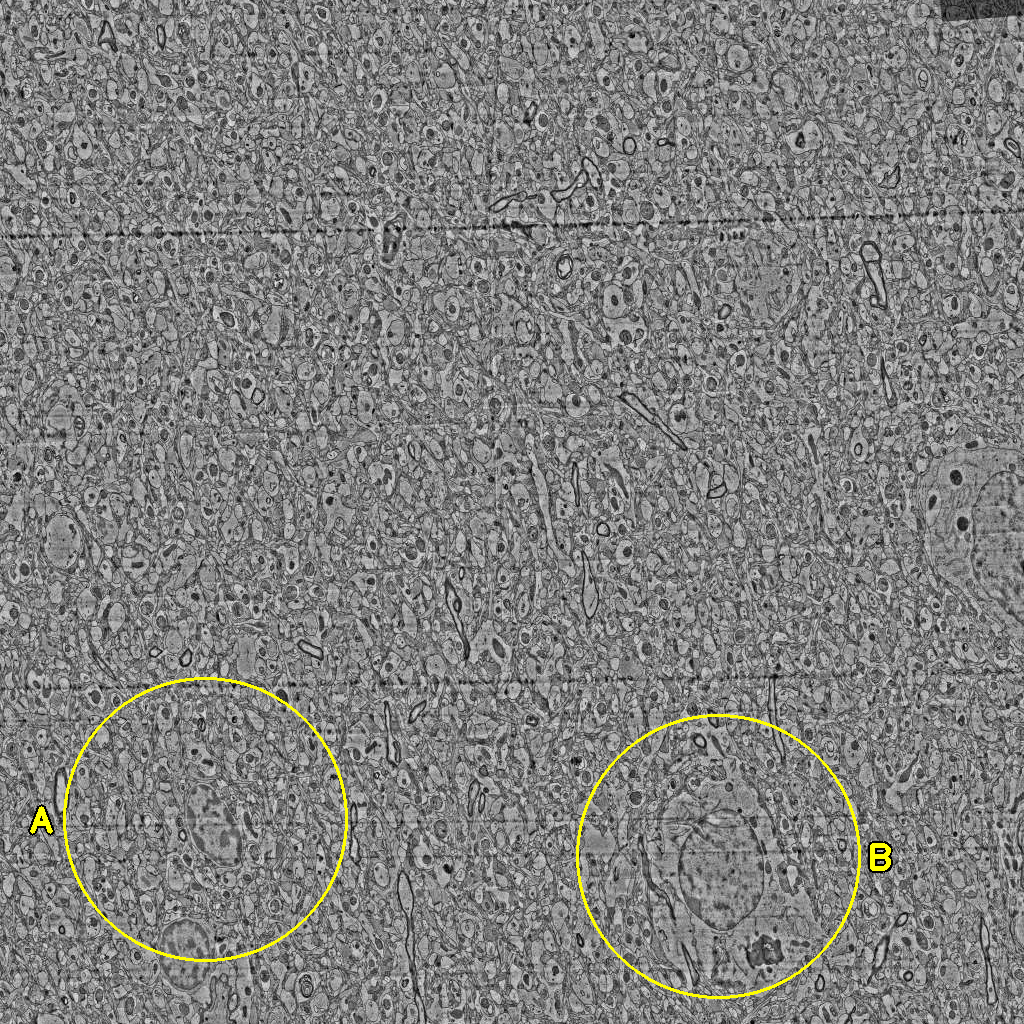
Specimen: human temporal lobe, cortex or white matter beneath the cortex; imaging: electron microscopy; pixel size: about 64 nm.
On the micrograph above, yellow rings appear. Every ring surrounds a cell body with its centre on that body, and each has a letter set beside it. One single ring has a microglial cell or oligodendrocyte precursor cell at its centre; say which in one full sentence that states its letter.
The answer is ring A, whose centre lies on the cell asked for.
